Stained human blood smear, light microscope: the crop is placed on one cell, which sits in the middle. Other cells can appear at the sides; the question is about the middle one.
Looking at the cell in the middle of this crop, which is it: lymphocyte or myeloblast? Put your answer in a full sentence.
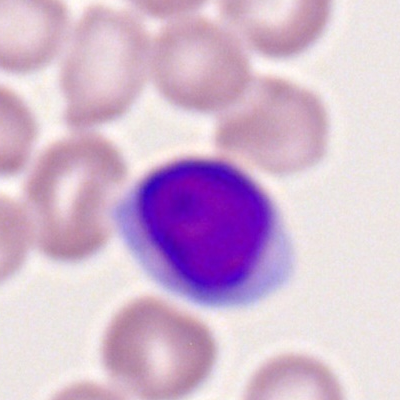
In the centre of this crop there is a lymphocyte.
